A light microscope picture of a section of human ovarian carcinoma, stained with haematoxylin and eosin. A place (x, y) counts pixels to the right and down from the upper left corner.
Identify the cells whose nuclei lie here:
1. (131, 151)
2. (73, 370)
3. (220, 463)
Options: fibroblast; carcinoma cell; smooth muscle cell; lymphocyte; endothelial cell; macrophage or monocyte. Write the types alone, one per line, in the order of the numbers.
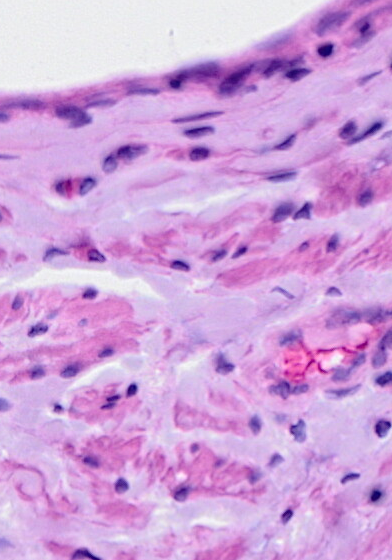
endothelial cell
smooth muscle cell
smooth muscle cell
